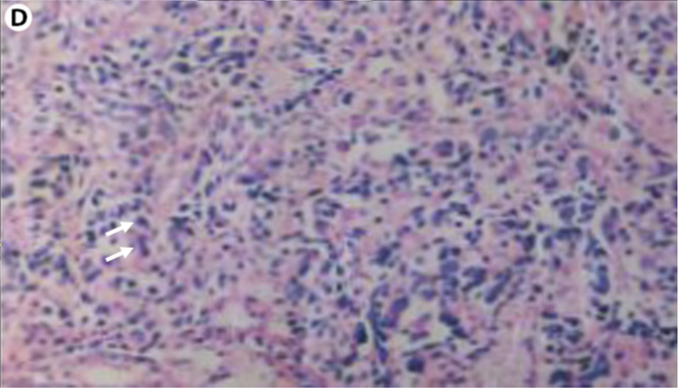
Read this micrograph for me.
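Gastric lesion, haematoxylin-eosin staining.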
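Many cells with dark purple, deeply stained nuclei are scattered singly and in loose strands across the field, with no clear glands. Their nuclei vary in shape, some round and others elongated or irregular. These cells lie in a pale pink background of cytoplasm and stroma. Other smaller cells with small dark round nuclei are mixed in among them.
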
